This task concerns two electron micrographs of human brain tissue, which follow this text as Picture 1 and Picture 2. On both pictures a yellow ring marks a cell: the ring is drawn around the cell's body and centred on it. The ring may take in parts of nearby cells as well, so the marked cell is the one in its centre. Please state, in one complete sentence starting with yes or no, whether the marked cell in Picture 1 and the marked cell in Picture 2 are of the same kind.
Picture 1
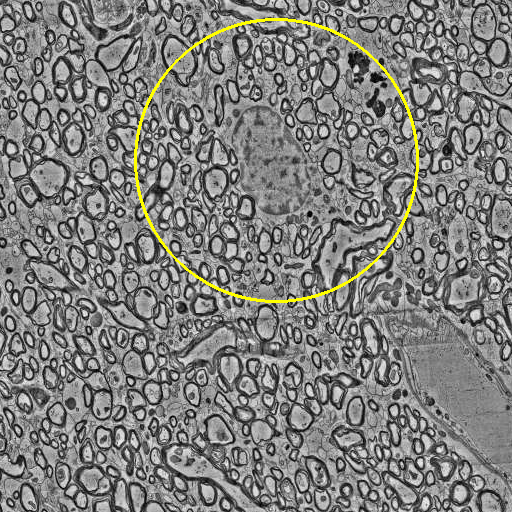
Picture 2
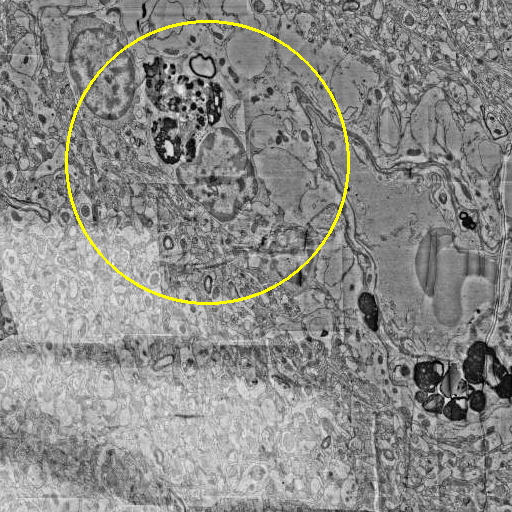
No, the marked cells in the two pictures are of two kinds.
